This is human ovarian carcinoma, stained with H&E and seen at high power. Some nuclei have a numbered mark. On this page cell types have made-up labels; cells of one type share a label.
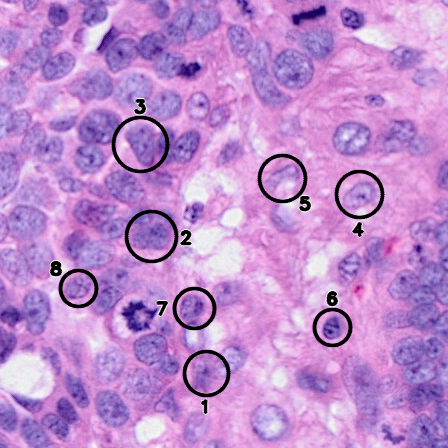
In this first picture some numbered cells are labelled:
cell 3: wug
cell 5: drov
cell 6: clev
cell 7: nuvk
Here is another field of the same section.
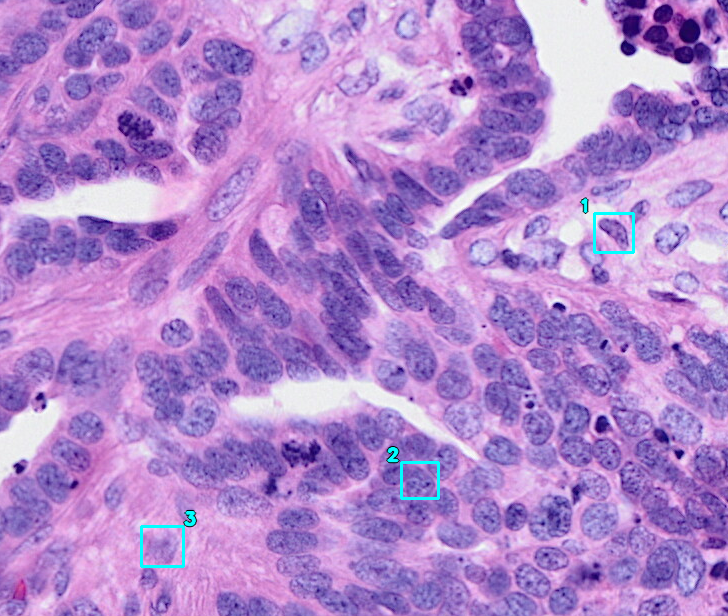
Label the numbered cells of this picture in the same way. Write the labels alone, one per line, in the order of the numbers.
nuvk
wug
drov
